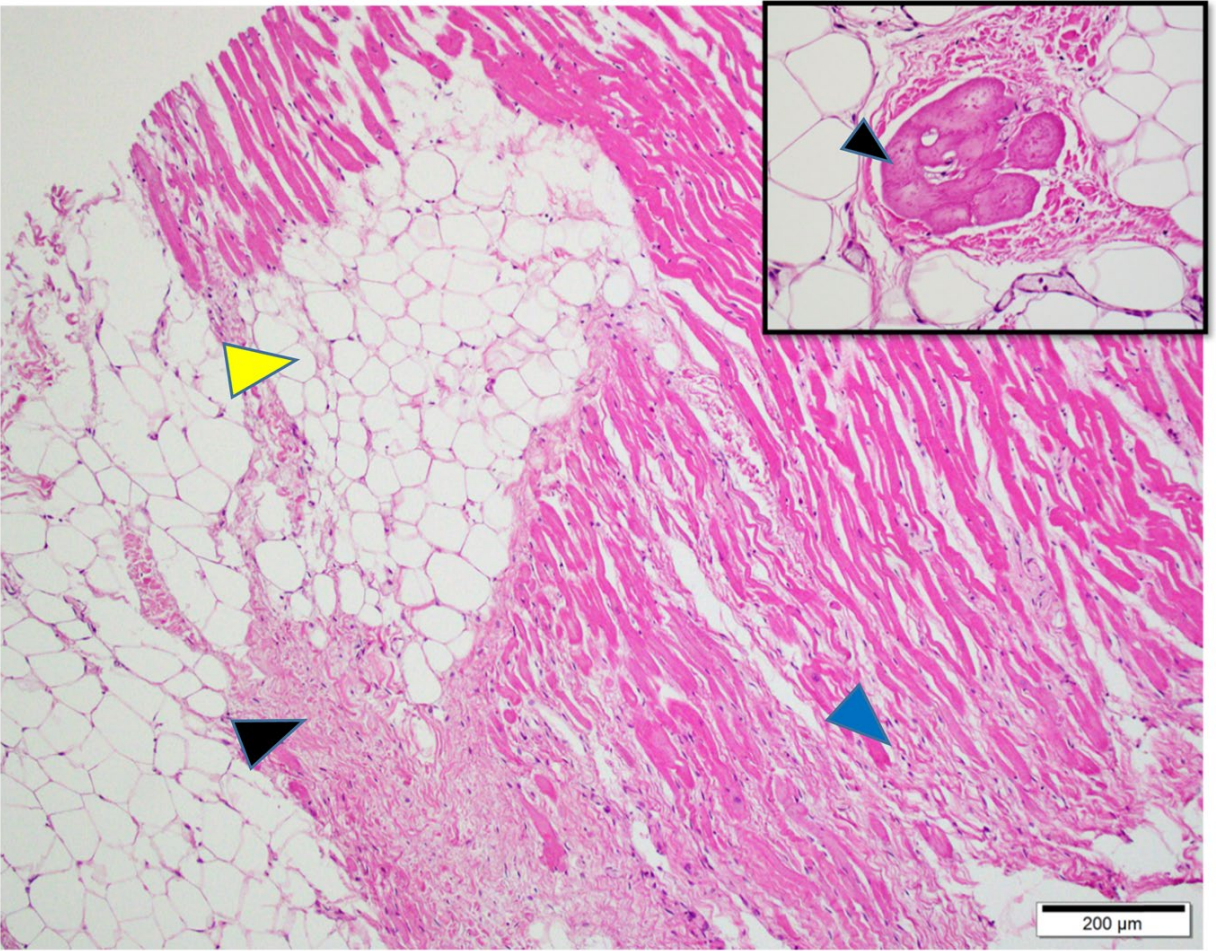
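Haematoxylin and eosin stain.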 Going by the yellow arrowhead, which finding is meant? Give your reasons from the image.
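Large clear polygonal cells with thin membranes lie among the muscle fibres. No capsule separates the fat from the muscle. On this evidence: interstitial fat infiltrates.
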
